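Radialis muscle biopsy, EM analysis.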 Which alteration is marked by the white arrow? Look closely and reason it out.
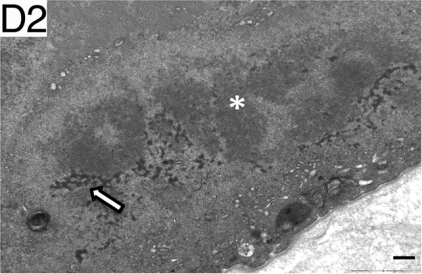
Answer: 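The arrow points to a cluster of small very dark granules. The granules lie at the edge of a larger dark, ill-defined zone in the cytoplasm.
Conclusion: dark osmiophilic granulo-filamentous material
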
